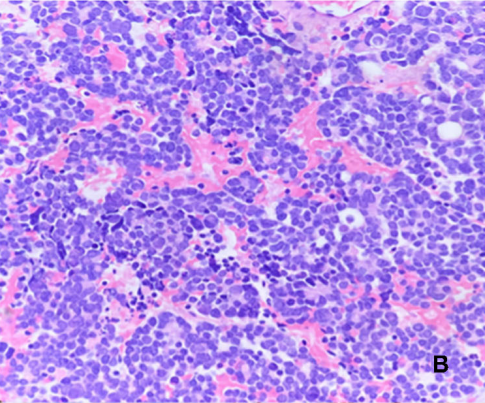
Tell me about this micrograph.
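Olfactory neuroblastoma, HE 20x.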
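A cellular tumour made of sheets and nests of small round blue cells separated by thin pink fibrovascular septa. The cells have dark, hyperchromatic round to oval nuclei that vary somewhat in size, with scant cytoplasm, so nuclei crowd closely together. Pink strands of stroma, some containing red blood cells, branch between the cell groups, dividing the tumour into irregular lobules.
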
